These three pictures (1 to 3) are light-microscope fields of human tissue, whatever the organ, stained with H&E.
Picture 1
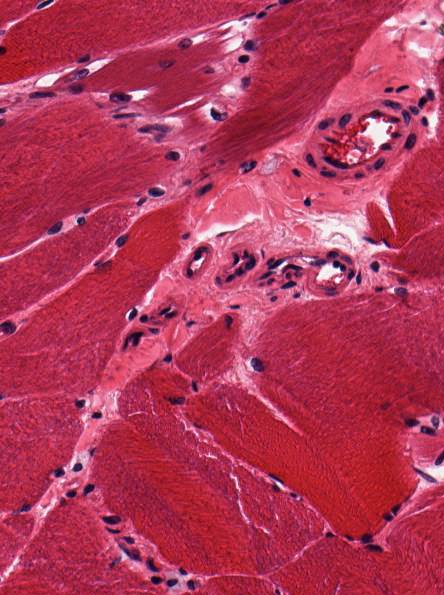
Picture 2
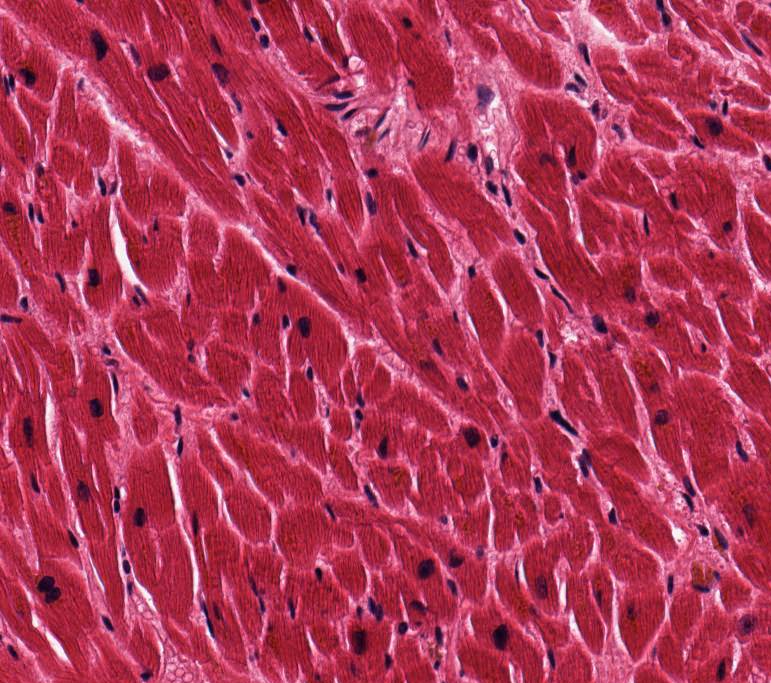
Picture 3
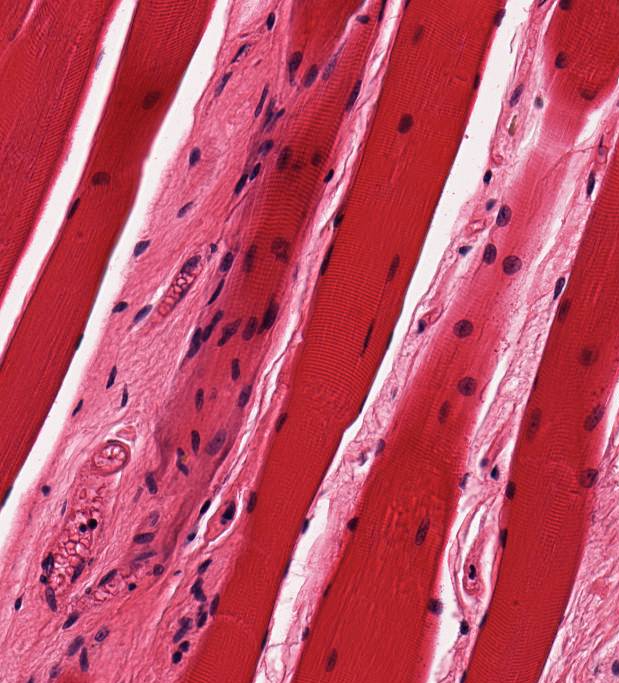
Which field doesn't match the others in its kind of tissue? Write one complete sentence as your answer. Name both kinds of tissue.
All pictures except 2 mainly show skeletal muscle; picture 2 mainly shows cardiac muscle.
